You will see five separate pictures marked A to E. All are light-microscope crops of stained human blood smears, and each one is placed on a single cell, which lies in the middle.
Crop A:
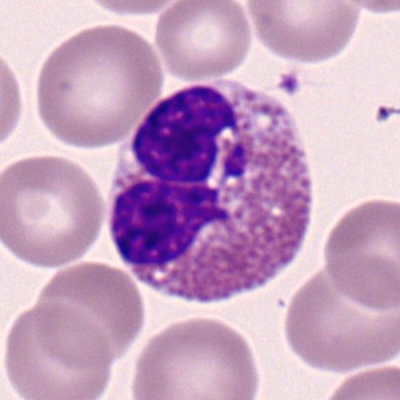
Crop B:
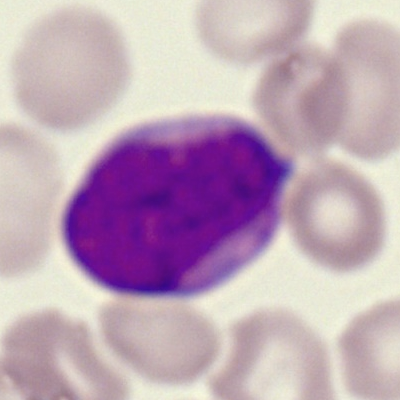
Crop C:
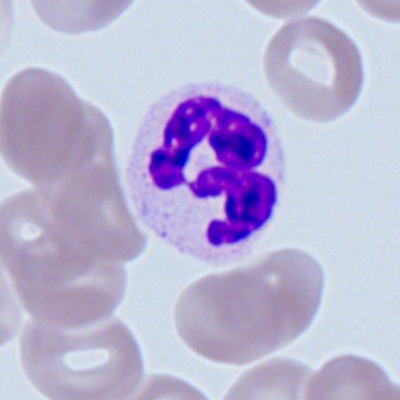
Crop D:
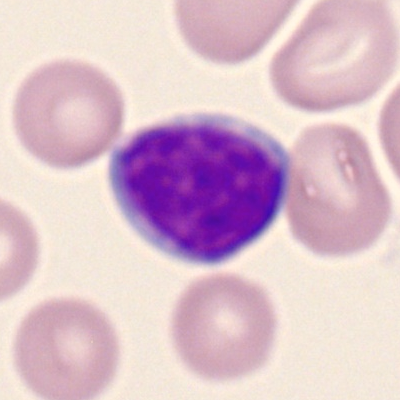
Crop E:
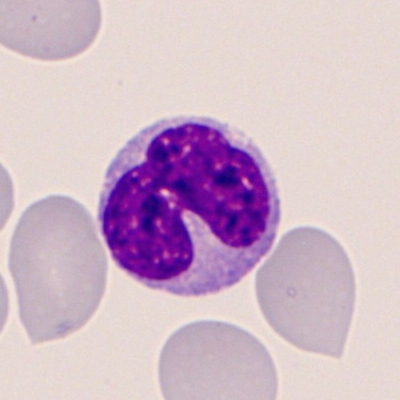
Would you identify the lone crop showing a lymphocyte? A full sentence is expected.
Of the labelled crops, the one that shows a lymphocyte is crop D.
